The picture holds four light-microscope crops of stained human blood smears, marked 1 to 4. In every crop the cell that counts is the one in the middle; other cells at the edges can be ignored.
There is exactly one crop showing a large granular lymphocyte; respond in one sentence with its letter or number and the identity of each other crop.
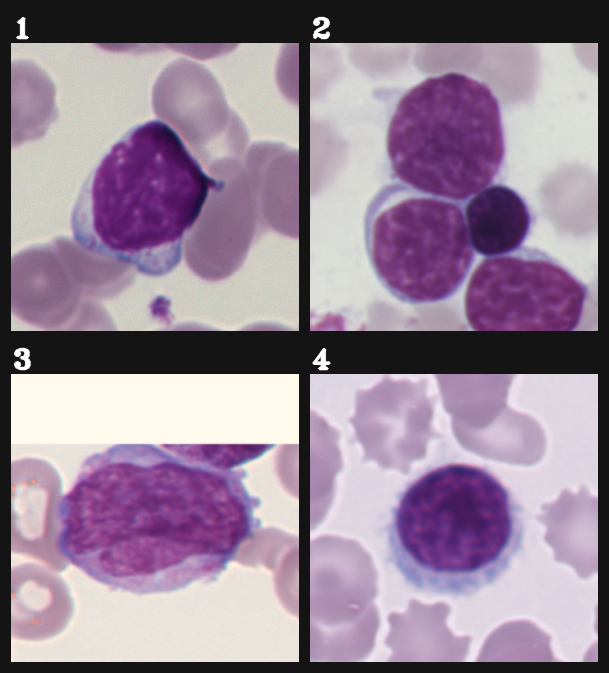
Crop 1 presents a large granular lymphocyte, while crop 2 is a myeloblast, crop 3 is an atypical promyelocyte and crop 4 is a hairy cell.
